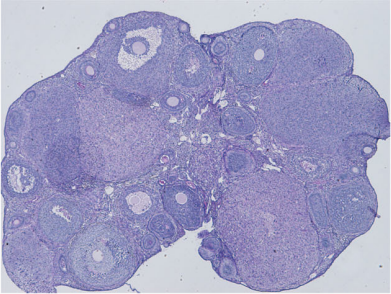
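This is a section through an ovary, crowded with follicles at many sizes set in a purple-stained cellular stroma. Small follicles near the surface hold a single oocyte with a thin rim of surrounding cells, while larger ones have several layers of densely packed granulosa cells around the oocyte. Between the follicles lie broad, paler, more uniform regions of tissue.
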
